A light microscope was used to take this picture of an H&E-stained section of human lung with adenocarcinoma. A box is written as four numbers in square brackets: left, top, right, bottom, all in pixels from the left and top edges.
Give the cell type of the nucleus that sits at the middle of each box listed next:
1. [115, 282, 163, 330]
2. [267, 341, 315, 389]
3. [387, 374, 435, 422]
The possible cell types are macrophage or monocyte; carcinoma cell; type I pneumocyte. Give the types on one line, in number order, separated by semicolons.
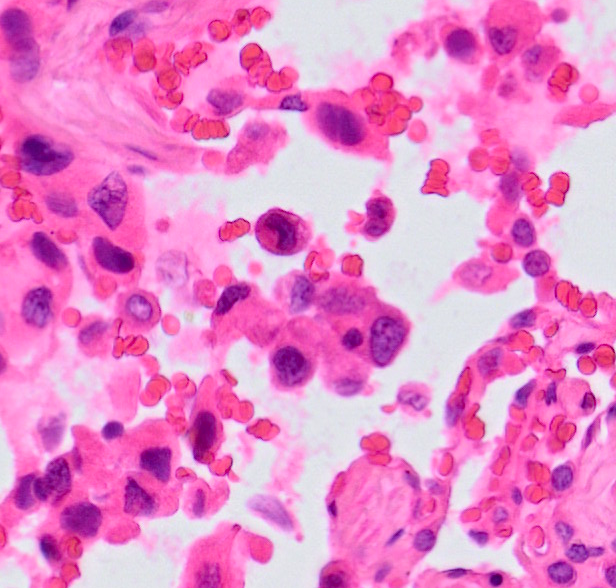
macrophage or monocyte; carcinoma cell; macrophage or monocyte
